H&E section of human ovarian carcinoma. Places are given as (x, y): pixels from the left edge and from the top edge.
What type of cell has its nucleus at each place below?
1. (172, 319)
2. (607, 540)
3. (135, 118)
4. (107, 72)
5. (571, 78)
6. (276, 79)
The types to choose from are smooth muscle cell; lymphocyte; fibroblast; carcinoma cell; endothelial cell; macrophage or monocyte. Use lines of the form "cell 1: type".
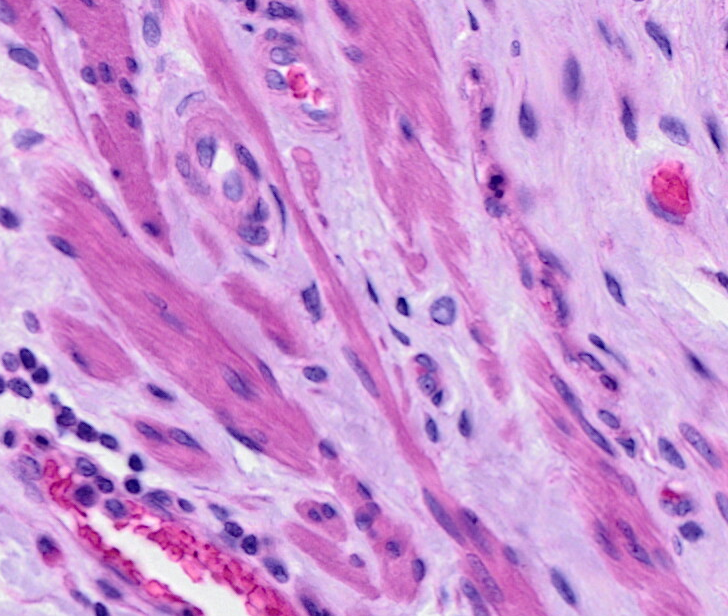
cell 1: smooth muscle cell
cell 2: smooth muscle cell
cell 3: smooth muscle cell
cell 4: smooth muscle cell
cell 5: fibroblast
cell 6: endothelial cell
